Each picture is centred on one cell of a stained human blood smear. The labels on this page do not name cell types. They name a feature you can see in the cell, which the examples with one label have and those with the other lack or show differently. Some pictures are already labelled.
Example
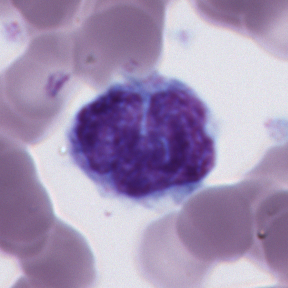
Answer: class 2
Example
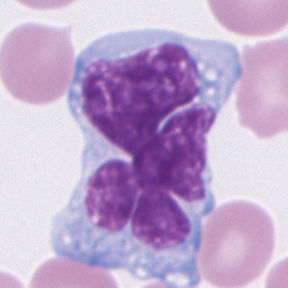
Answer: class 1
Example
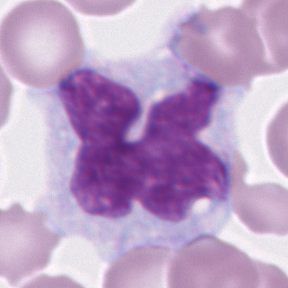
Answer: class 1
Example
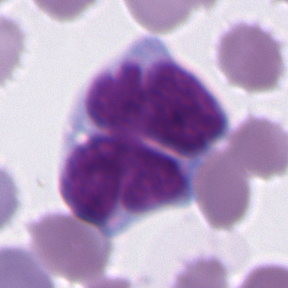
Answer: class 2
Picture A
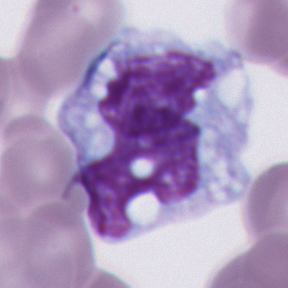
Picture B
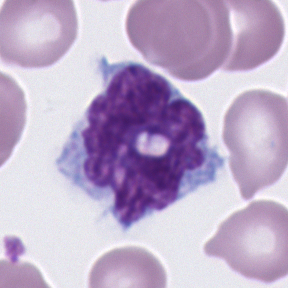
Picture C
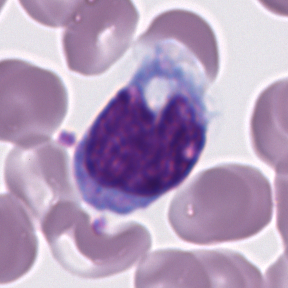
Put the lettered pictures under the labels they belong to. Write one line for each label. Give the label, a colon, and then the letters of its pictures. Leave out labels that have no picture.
class 2: B, C
class 1: A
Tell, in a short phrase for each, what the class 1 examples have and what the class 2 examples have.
class 1: abundant cytoplasm; class 2: scant cytoplasm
